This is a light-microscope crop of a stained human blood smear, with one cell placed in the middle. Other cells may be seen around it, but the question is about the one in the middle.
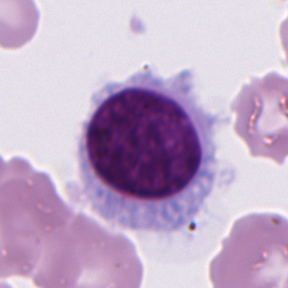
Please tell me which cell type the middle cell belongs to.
hairy cell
